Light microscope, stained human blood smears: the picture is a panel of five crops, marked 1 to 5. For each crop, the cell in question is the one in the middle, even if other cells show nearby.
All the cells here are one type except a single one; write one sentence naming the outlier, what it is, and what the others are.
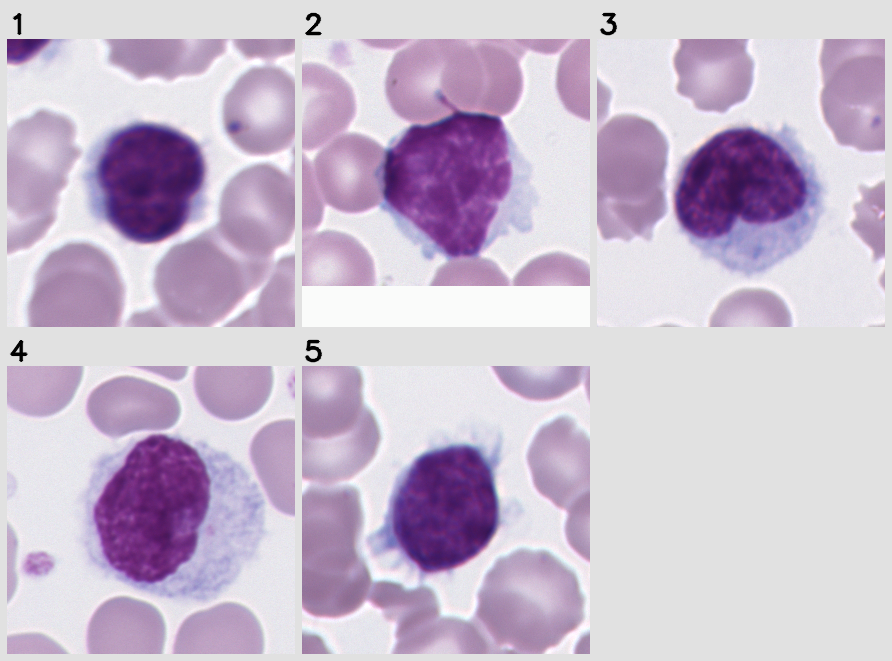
All of the other crops show hairy cells; crop 2, by contrast, is a typical lymphocyte.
